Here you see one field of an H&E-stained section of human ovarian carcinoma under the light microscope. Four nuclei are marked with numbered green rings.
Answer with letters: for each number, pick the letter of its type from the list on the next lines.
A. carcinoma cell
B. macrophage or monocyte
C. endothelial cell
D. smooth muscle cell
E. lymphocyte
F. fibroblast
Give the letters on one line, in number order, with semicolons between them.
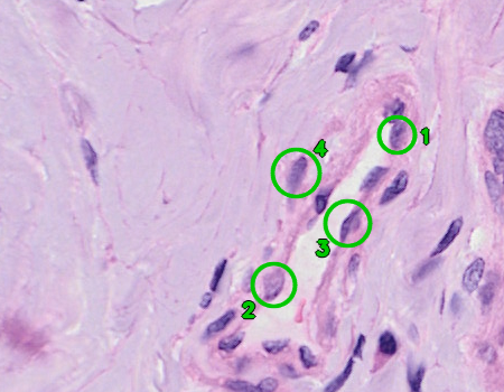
C; C; C; D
